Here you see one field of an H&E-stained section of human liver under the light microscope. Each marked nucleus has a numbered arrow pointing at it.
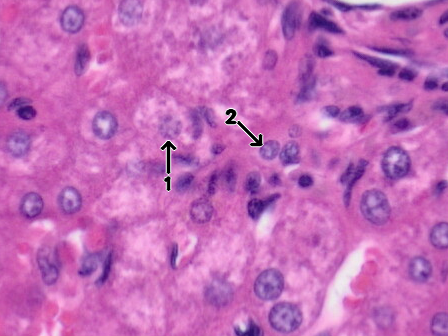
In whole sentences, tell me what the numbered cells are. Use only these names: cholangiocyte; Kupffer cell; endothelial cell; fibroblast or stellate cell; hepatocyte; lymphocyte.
Cell 1 is a hepatocyte and cell 2 is a cholangiocyte.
